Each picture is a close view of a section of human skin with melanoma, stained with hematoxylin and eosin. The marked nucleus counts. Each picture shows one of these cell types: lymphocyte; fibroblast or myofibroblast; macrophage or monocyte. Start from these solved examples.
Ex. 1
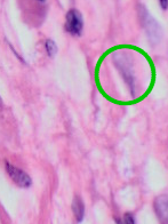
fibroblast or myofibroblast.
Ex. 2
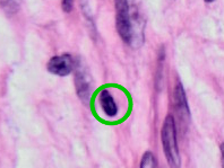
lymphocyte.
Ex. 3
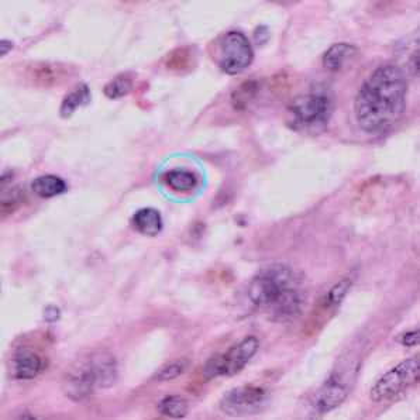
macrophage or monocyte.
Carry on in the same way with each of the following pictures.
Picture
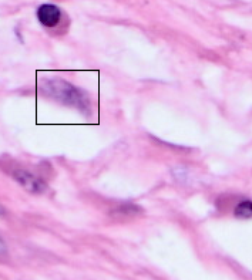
fibroblast or myofibroblast.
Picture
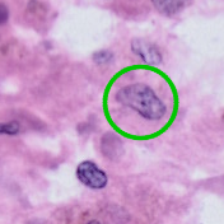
macrophage or monocyte.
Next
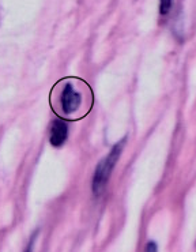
lymphocyte.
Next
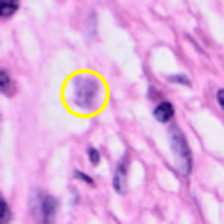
fibroblast or myofibroblast.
